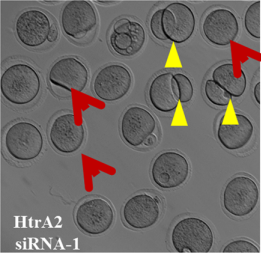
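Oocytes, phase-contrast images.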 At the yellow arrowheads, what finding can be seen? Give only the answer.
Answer: Symmetrical division or a large polar body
